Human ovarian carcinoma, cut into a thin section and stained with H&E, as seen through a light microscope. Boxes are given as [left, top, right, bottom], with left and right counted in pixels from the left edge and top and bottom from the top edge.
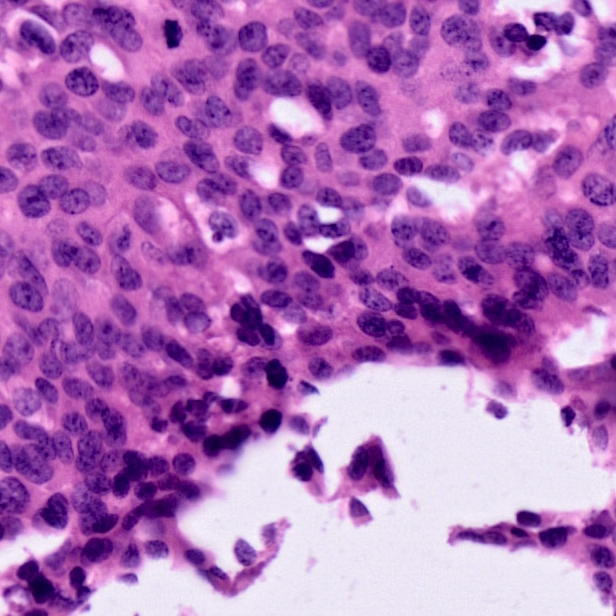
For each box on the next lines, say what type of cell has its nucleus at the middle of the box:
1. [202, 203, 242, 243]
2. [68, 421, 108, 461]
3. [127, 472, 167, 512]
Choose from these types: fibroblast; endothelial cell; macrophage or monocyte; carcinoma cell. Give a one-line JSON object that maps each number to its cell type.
{"1": "macrophage or monocyte", "2": "carcinoma cell", "3": "carcinoma cell"}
